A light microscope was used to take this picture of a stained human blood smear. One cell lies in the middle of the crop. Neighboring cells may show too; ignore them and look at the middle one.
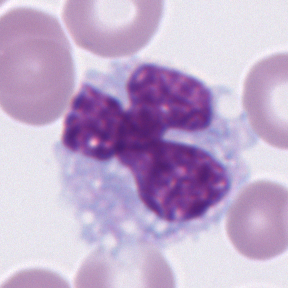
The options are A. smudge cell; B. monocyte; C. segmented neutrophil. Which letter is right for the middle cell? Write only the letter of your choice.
B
